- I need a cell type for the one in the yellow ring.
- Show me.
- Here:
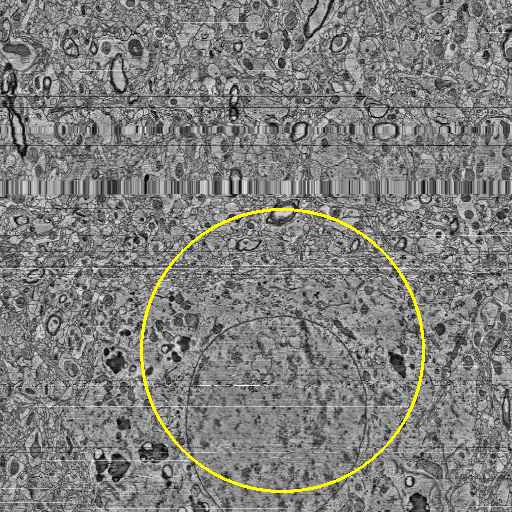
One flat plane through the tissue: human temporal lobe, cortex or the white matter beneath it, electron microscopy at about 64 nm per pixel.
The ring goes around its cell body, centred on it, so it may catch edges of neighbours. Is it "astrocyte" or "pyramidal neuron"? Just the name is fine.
pyramidal neuron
